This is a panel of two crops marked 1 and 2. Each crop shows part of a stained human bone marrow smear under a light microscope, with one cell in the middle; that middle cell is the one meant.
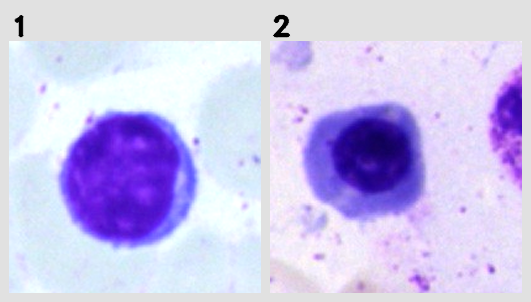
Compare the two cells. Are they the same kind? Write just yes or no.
no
